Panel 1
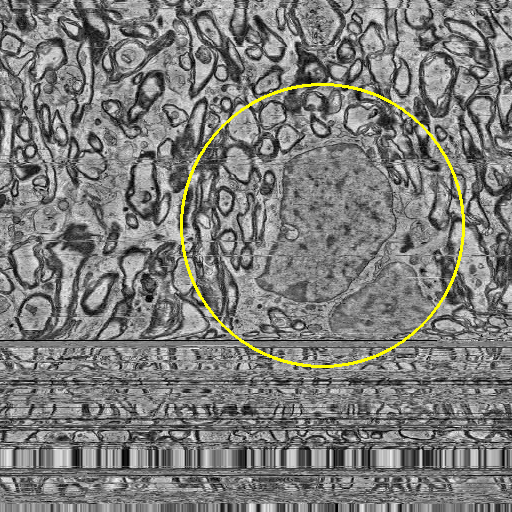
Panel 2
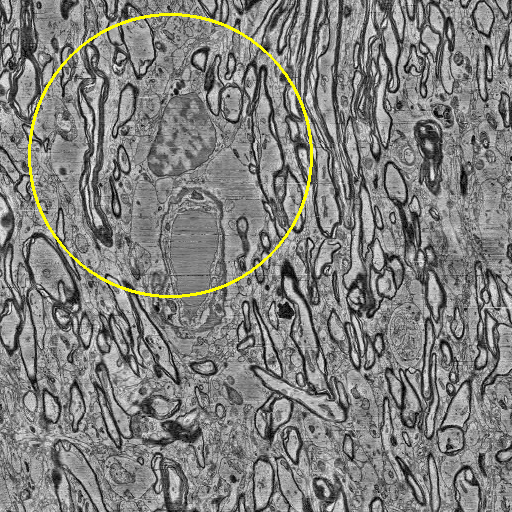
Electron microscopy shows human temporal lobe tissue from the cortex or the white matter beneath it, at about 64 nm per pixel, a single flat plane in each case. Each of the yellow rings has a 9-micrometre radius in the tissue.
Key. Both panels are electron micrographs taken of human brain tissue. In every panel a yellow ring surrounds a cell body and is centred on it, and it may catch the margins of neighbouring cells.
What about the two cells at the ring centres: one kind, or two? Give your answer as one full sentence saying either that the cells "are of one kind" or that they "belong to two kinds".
Across Panels 1 and 2, the two cells at the ring centres are of one kind.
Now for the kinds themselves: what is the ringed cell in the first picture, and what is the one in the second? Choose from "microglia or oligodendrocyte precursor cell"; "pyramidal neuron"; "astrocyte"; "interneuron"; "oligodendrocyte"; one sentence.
Each of the two cells is a microglial cell or oligodendrocyte precursor cell.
